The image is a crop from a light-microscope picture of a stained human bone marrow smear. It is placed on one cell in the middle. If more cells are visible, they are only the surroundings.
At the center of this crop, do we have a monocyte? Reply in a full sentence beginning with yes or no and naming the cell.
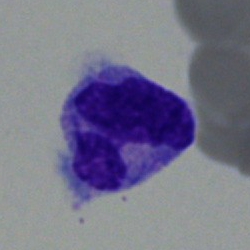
Yes, the cell shown centrally is a monocyte.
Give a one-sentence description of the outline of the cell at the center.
Its surface contour departs from smoothness through ragged edges or outward projections.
